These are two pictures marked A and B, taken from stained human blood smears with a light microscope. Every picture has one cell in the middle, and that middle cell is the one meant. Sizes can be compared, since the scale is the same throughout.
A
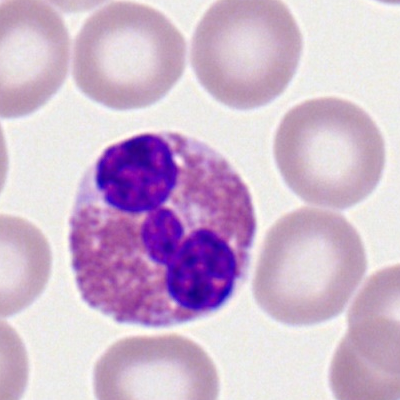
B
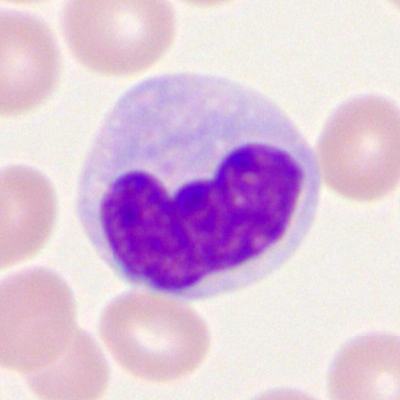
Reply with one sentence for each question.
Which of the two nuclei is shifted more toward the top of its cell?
It is the nucleus in picture A that lies further toward the top of its cell.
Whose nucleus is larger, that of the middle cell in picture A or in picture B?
The nucleus in picture B is larger, with about 1.5 times the area of the one in picture A.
